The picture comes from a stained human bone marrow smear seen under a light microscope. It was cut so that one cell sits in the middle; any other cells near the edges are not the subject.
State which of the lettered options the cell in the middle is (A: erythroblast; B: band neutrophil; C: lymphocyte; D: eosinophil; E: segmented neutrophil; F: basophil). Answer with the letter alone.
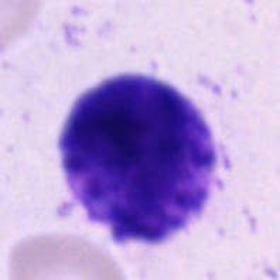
F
